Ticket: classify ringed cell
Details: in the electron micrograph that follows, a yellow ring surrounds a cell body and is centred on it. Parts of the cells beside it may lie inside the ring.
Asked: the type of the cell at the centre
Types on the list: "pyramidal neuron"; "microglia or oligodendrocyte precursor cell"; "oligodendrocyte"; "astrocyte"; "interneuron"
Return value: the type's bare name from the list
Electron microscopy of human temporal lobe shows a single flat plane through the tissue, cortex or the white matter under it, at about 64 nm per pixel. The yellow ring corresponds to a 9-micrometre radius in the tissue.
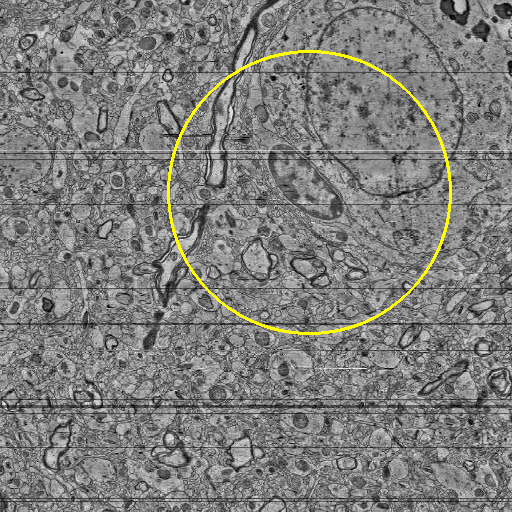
microglia or oligodendrocyte precursor cell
